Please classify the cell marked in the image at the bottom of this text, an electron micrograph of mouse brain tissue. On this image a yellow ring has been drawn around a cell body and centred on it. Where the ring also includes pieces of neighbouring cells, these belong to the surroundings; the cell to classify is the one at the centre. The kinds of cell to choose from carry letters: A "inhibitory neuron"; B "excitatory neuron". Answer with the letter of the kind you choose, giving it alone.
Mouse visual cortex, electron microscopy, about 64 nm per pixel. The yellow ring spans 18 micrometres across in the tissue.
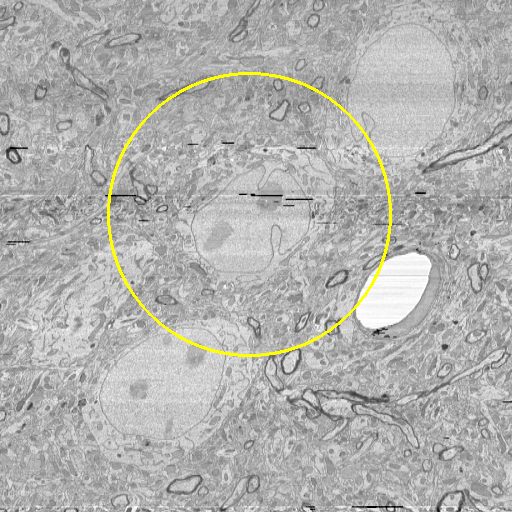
B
